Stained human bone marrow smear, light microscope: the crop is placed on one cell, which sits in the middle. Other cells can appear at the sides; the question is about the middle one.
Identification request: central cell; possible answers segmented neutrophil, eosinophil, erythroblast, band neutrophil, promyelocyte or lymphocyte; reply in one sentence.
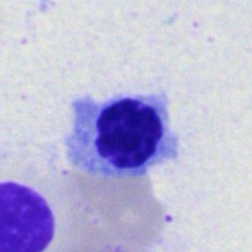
The crop centres on a single cell, and that cell is an erythroblast.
